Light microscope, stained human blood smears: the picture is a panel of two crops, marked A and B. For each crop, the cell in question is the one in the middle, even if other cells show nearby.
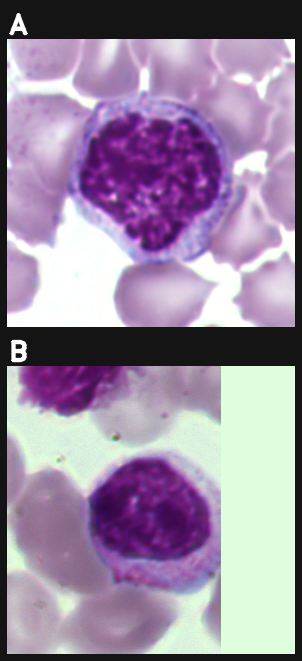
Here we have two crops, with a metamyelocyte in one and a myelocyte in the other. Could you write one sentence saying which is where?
Crop A features a myelocyte, while crop B features a metamyelocyte.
